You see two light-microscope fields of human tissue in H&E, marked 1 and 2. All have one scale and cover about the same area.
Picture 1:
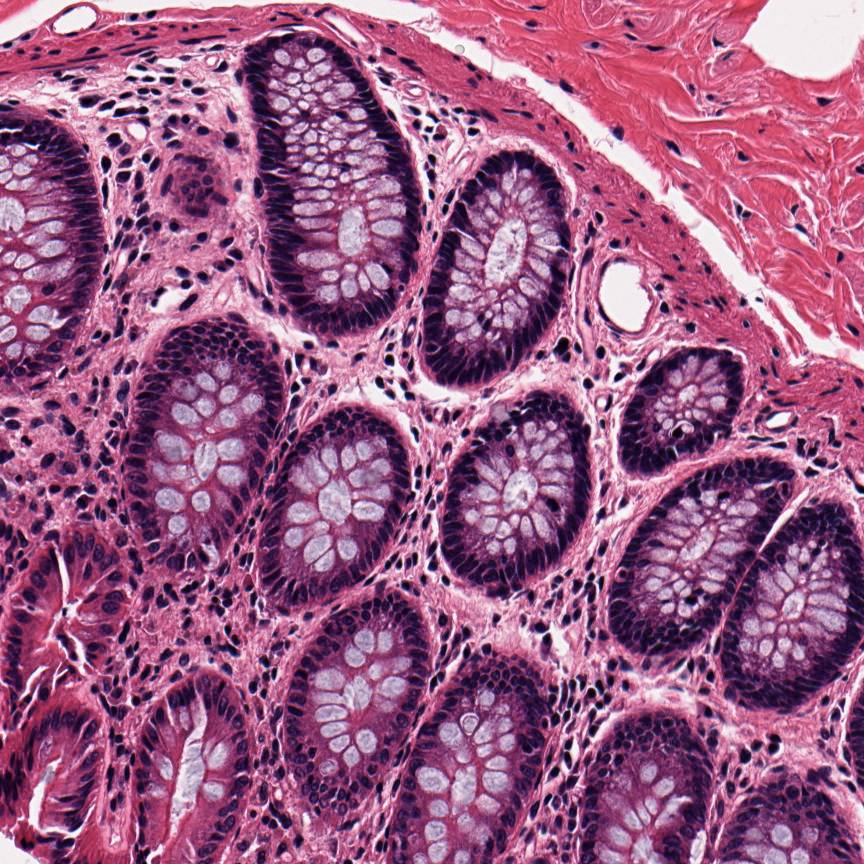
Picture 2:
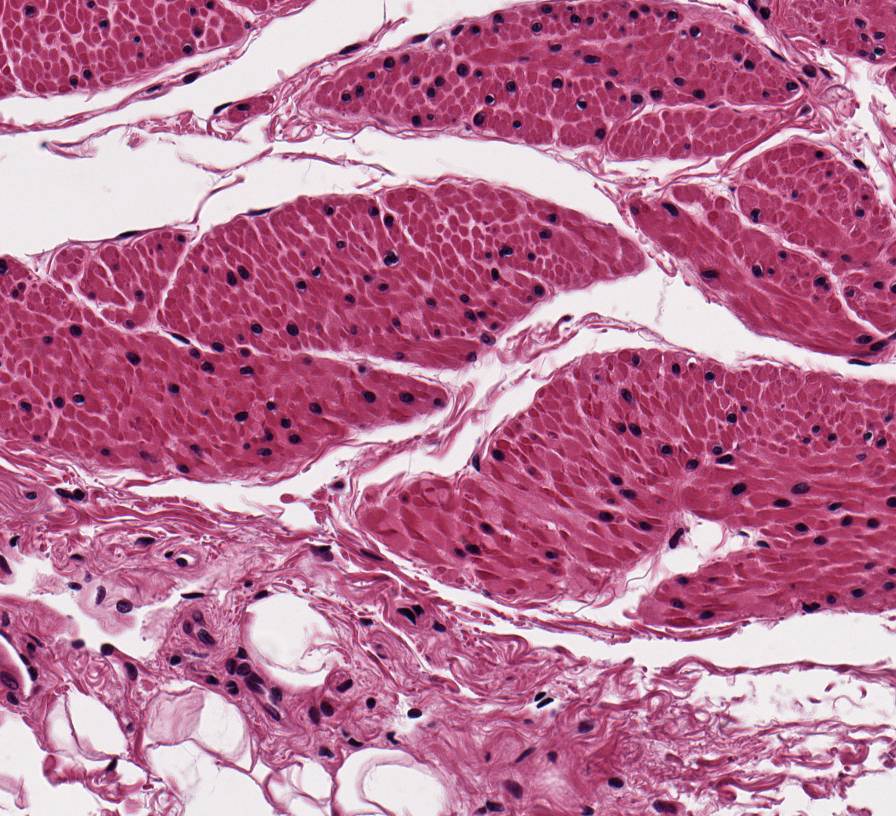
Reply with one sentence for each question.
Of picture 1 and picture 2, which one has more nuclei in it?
Picture 1 holds more nuclei than picture 2.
